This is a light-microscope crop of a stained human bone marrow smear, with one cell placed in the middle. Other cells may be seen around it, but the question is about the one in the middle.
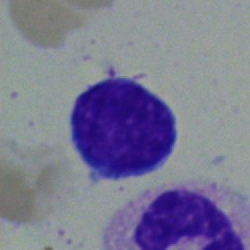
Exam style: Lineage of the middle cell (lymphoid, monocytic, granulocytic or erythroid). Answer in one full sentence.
Of lymphoid lineage is the cell at the center of the crop.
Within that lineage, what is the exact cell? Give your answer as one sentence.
The crop shows a lymphocyte in its centre.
